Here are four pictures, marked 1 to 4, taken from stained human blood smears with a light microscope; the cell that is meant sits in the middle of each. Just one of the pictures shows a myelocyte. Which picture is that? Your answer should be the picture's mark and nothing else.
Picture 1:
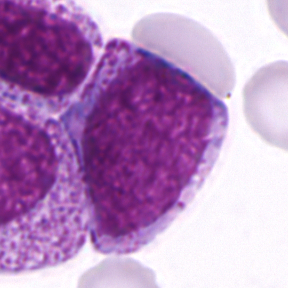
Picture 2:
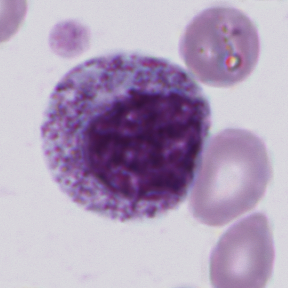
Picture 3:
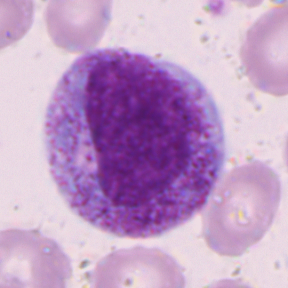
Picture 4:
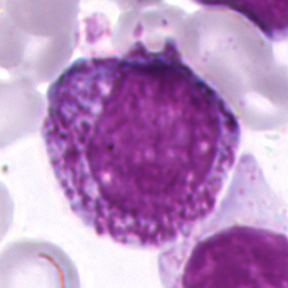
2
